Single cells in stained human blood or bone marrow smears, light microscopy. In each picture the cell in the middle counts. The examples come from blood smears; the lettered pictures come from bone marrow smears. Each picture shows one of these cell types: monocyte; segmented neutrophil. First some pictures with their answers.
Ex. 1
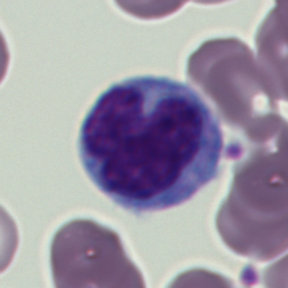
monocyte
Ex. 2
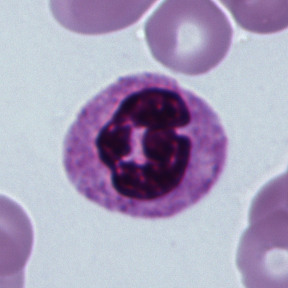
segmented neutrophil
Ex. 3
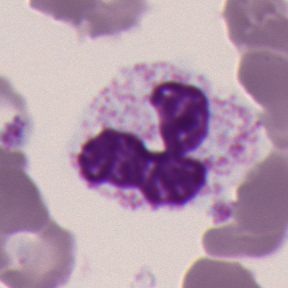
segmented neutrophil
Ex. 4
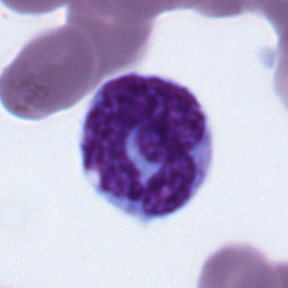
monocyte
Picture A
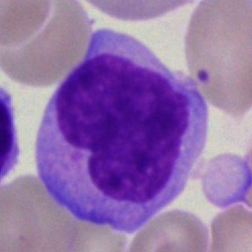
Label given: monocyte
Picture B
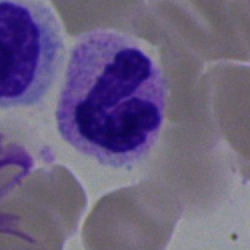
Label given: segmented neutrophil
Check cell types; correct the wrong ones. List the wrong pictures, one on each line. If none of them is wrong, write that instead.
Nothing to fix; every label fits.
